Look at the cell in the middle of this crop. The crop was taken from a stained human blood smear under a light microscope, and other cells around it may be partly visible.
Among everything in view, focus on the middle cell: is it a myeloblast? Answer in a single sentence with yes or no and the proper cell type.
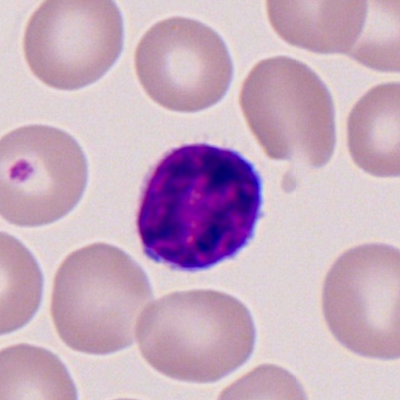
No, what is centred in the crop is not a myeloblast but a lymphocyte.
